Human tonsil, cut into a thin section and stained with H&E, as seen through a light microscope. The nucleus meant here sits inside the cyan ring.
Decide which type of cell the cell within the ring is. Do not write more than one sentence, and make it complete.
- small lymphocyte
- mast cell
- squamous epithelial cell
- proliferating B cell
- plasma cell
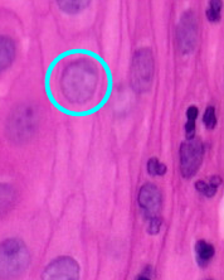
To be brief about it, the cell within the ring is a squamous epithelial cell.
